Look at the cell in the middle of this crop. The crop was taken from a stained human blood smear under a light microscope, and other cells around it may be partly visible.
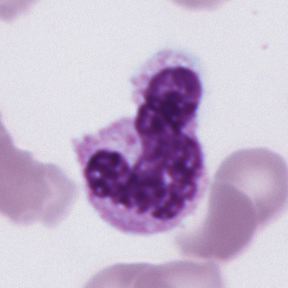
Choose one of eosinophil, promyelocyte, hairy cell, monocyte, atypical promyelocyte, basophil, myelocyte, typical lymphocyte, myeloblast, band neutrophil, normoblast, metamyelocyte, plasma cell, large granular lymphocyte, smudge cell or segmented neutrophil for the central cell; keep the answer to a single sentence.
Here the cell in the middle is a segmented neutrophil.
